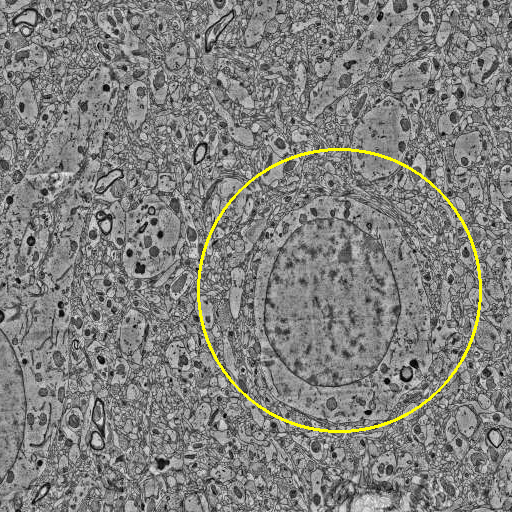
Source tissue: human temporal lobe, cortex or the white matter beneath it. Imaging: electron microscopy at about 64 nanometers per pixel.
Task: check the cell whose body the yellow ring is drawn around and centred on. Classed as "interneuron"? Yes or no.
No, it belongs to another class.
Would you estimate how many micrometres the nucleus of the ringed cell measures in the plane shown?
The ringed cell's nucleus measures approximately 11 by 9 micrometres in this plane.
